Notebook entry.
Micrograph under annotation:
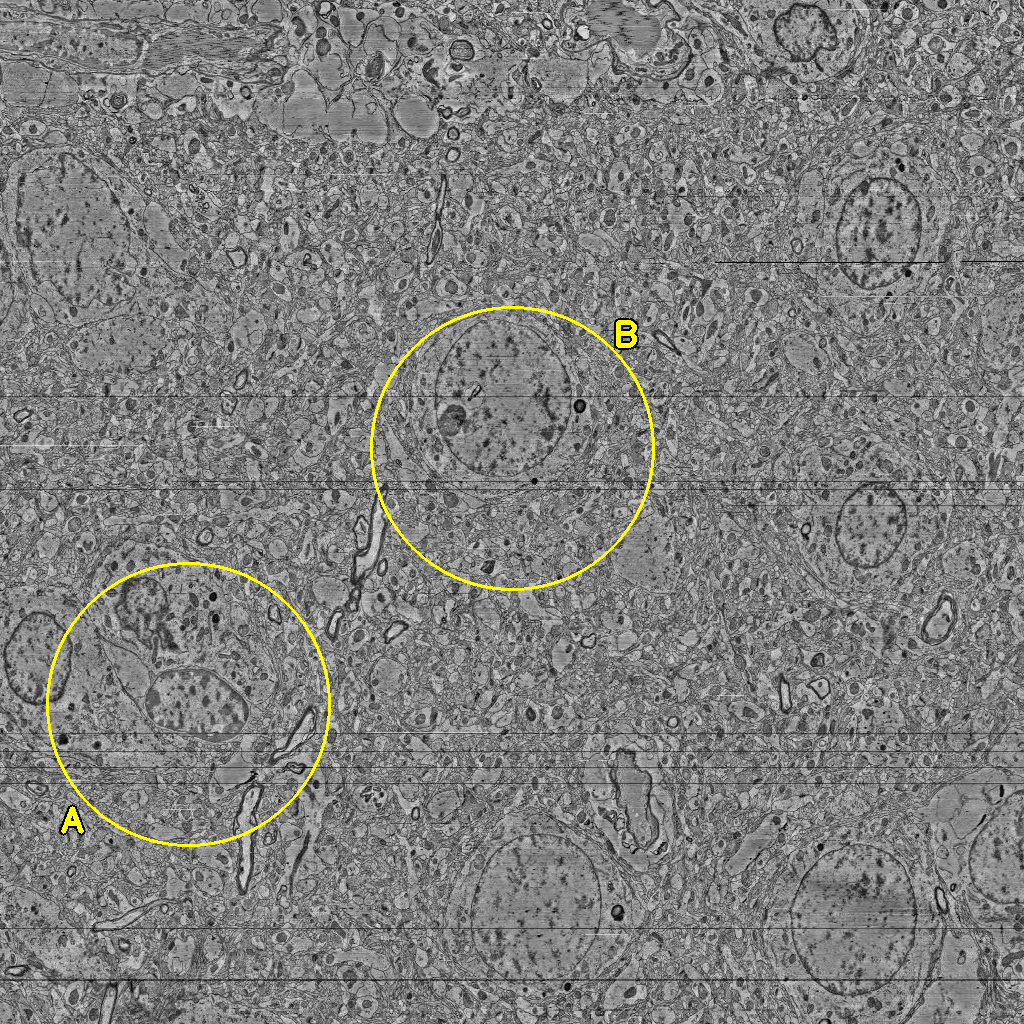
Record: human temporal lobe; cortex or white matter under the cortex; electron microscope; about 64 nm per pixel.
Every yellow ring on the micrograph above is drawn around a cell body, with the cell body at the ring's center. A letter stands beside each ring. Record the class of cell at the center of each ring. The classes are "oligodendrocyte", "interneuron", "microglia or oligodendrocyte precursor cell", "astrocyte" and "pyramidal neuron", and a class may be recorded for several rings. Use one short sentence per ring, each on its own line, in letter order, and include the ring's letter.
Ring A is centered on a microglial cell or oligodendrocyte precursor cell.
Ring B is centered on a pyramidal neuron.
